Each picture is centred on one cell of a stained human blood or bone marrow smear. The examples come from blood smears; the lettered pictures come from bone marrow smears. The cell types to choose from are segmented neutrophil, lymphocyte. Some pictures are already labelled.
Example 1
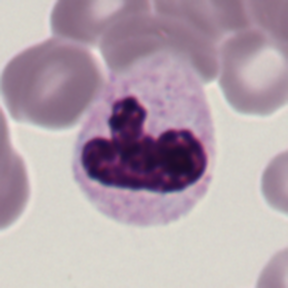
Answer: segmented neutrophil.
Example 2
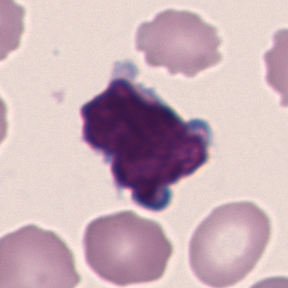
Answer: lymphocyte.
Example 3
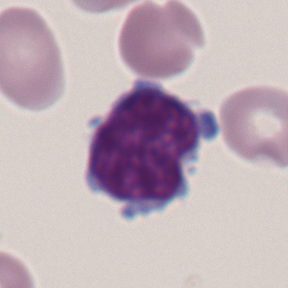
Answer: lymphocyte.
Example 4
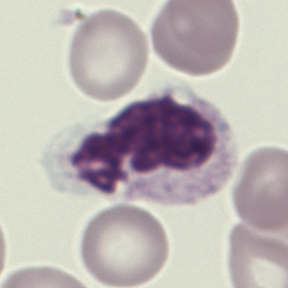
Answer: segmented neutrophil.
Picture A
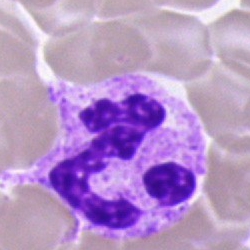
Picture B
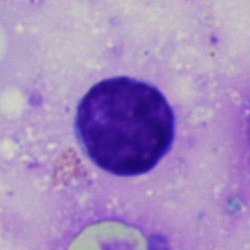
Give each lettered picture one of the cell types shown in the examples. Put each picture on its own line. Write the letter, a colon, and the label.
A: segmented neutrophil.
B: lymphocyte.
